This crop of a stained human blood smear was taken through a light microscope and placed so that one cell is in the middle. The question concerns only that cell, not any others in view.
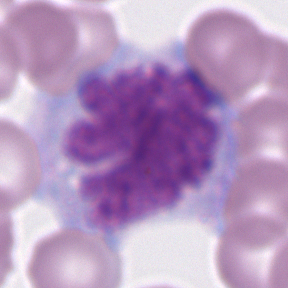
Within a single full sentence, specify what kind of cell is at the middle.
In the centre of this crop there is a monocyte.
